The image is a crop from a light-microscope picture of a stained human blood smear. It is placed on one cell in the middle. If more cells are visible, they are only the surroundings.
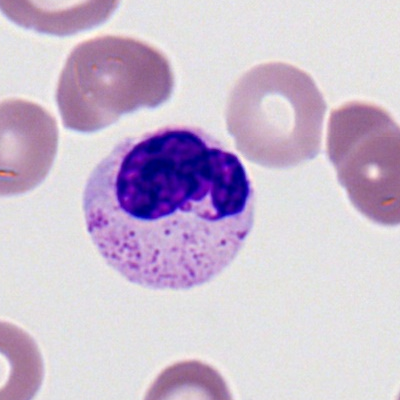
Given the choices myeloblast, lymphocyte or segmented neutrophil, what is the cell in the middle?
segmented neutrophil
